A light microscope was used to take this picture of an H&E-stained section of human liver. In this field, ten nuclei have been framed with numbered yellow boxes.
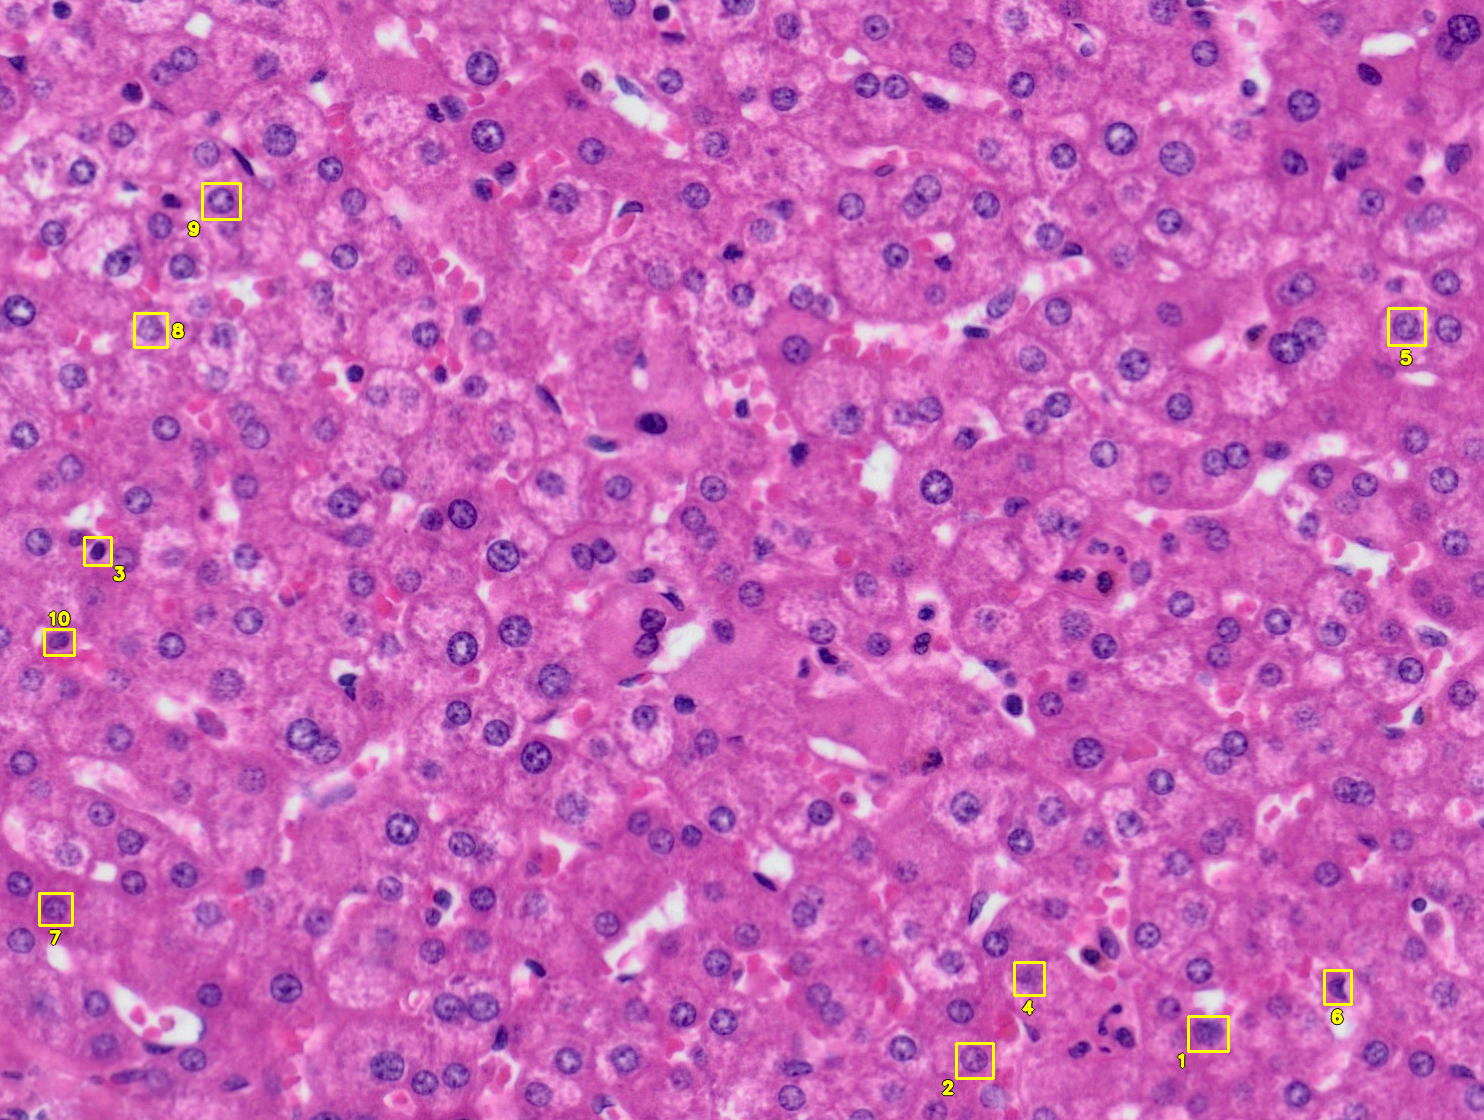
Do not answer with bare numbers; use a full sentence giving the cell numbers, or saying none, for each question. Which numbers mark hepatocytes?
The cells tagged 2, 4, 5, 7, 8 and 9 are hepatocytes in this tissue section.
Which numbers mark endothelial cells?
Cell 1 is an endothelial cell and is the only numbered cell of that kind.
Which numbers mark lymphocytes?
The cell marked by number 3 is a lymphocyte; the other marked cells are not.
